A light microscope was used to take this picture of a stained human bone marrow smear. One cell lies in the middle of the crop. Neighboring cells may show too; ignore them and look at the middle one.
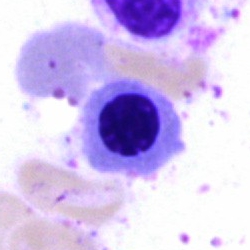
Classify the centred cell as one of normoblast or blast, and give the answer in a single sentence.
Classification of the middle cell gives a normoblast.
